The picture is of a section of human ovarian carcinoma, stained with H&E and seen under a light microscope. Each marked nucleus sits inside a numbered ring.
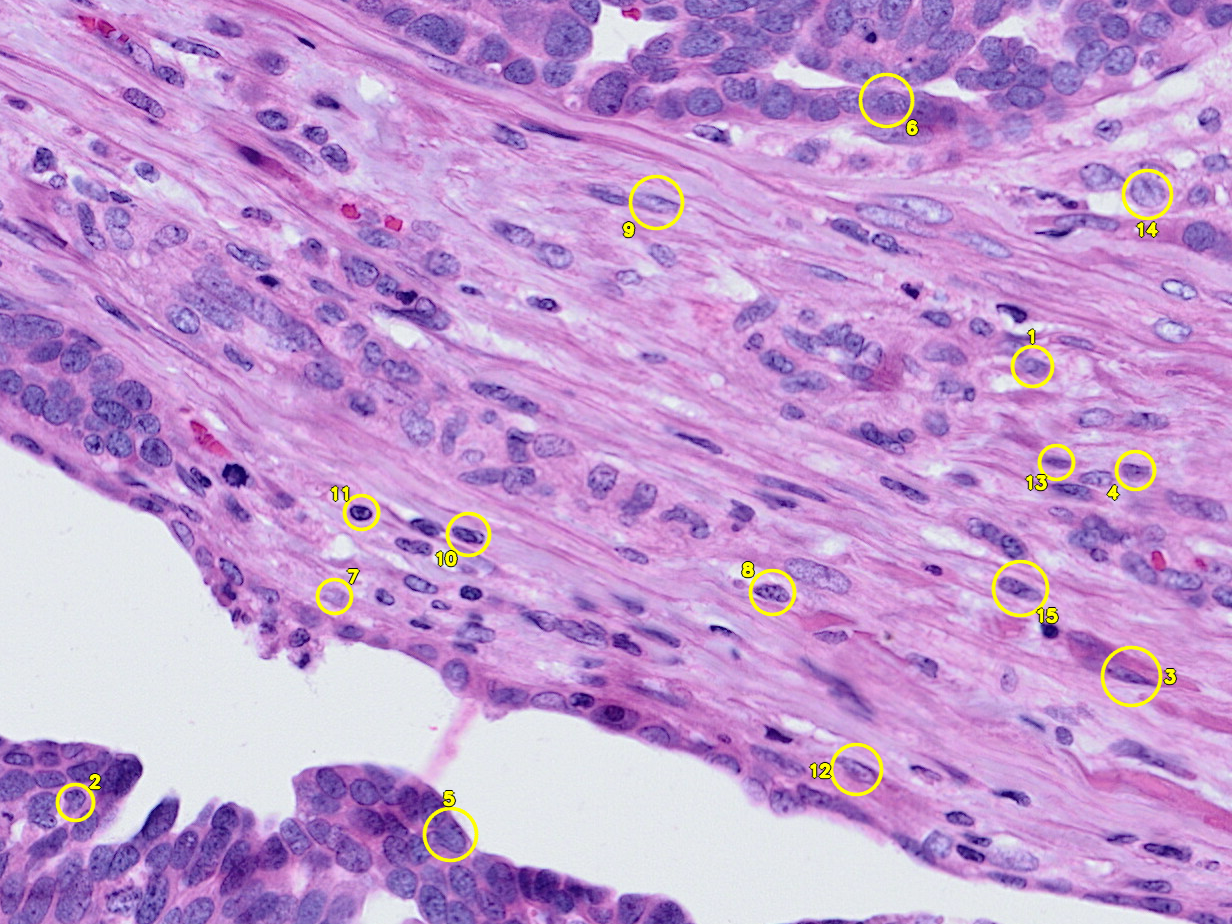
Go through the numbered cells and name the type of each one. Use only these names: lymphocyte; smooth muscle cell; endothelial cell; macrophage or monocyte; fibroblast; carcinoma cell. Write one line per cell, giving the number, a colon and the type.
1: fibroblast
2: macrophage or monocyte
3: smooth muscle cell
4: fibroblast
5: carcinoma cell
6: carcinoma cell
7: fibroblast
8: macrophage or monocyte
9: fibroblast
10: lymphocyte
11: lymphocyte
12: fibroblast
13: fibroblast
14: fibroblast
15: macrophage or monocyte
